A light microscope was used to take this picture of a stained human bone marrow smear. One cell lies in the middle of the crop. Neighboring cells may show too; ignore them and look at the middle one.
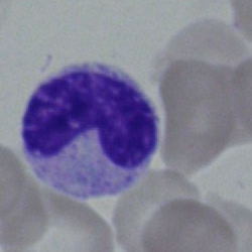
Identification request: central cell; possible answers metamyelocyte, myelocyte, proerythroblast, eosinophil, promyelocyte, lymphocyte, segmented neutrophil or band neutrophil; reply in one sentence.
Looking at the middle of the crop, the cell there is a band neutrophil.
